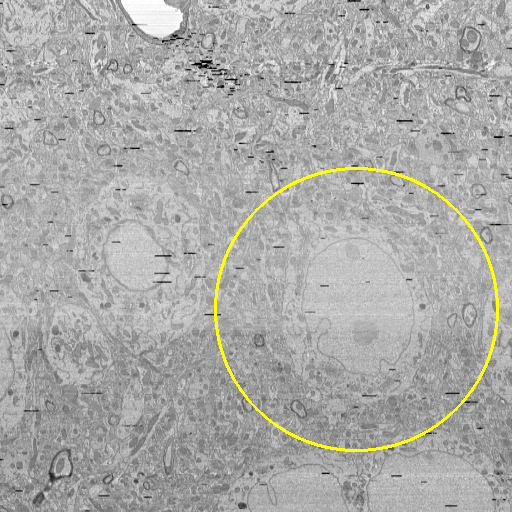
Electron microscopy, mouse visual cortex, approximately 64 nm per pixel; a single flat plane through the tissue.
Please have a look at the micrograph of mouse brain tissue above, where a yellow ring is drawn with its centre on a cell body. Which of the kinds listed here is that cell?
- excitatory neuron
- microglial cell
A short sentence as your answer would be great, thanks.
At the centre of the ring sits an excitatory neuron.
